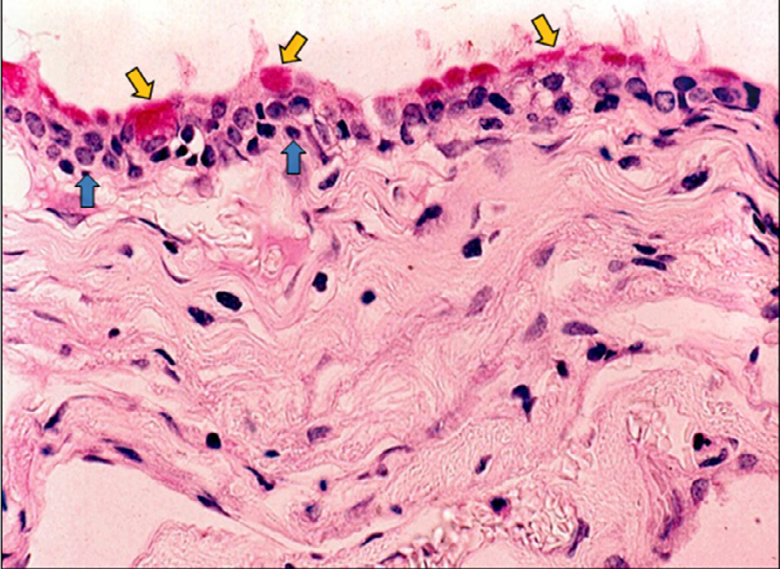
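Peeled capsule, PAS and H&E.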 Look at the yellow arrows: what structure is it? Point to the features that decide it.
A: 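Bright magenta material lies at the apical surface of the epithelium. The magenta material forms caps and patches along the luminal edge.
Hence: mucoid material.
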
